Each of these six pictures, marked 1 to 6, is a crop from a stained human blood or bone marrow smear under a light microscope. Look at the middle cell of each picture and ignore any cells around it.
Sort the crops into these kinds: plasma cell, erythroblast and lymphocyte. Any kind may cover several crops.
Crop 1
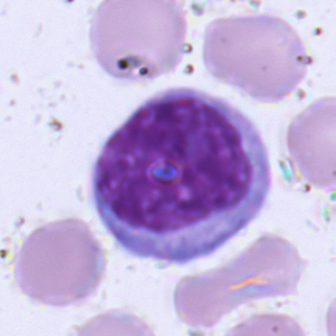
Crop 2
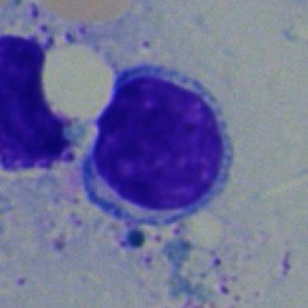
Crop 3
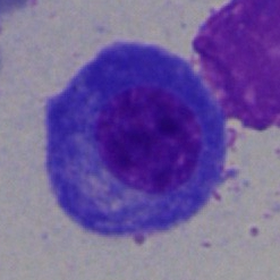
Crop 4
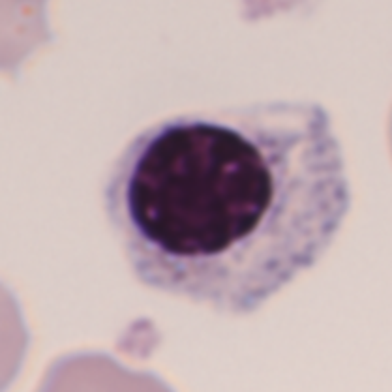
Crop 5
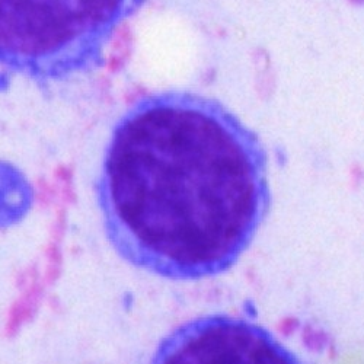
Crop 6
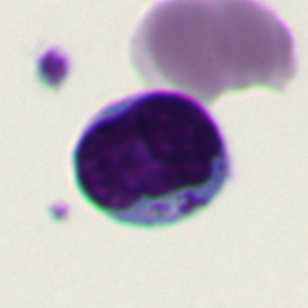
1: plasma cell
2: lymphocyte
3: plasma cell
4: erythroblast
5: lymphocyte
6: lymphocyte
